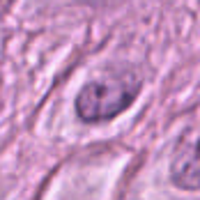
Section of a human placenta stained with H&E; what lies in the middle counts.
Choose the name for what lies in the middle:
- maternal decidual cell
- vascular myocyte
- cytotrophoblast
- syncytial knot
maternal decidual cell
